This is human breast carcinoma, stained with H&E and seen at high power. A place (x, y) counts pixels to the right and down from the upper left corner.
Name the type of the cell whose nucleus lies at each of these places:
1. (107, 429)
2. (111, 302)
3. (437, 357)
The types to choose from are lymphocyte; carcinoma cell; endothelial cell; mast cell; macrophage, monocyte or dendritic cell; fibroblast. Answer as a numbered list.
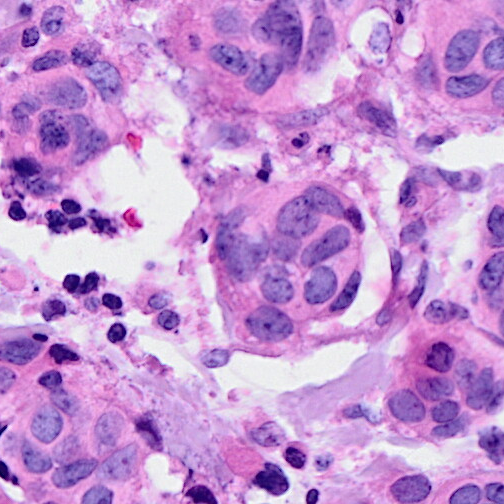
1. carcinoma cell
2. lymphocyte
3. carcinoma cell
